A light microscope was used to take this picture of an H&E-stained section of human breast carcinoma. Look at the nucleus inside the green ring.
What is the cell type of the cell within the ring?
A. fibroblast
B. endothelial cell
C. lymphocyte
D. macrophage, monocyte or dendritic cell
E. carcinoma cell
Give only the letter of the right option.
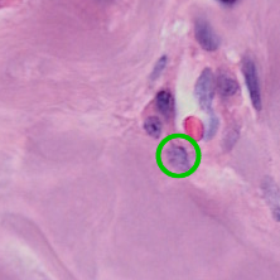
B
